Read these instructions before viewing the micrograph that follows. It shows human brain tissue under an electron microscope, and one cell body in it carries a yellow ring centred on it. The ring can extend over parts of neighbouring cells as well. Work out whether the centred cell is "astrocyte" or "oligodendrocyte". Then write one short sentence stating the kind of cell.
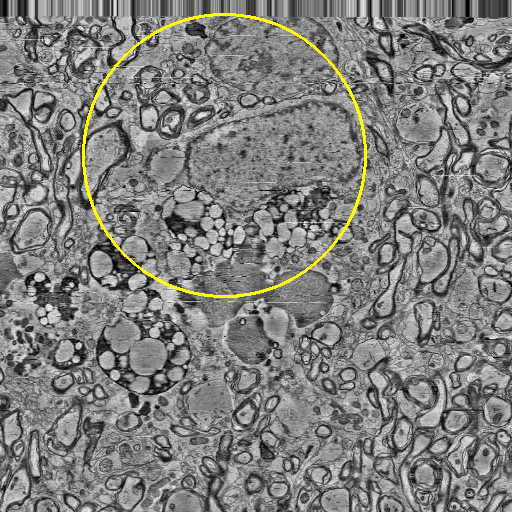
The ringed cell is an astrocyte.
